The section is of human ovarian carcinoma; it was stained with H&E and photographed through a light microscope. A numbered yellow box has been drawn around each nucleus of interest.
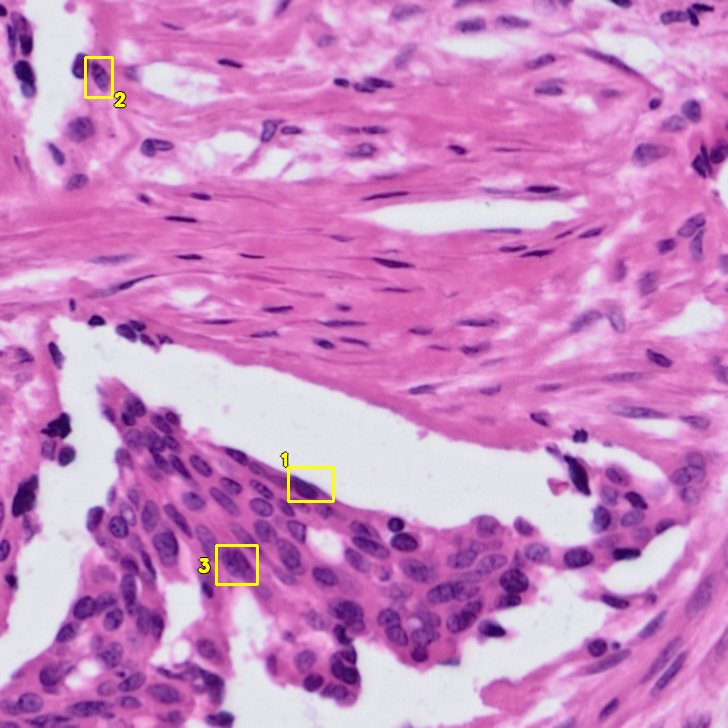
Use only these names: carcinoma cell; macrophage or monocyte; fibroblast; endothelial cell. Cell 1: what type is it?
carcinoma cell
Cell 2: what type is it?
macrophage or monocyte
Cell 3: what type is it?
carcinoma cell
